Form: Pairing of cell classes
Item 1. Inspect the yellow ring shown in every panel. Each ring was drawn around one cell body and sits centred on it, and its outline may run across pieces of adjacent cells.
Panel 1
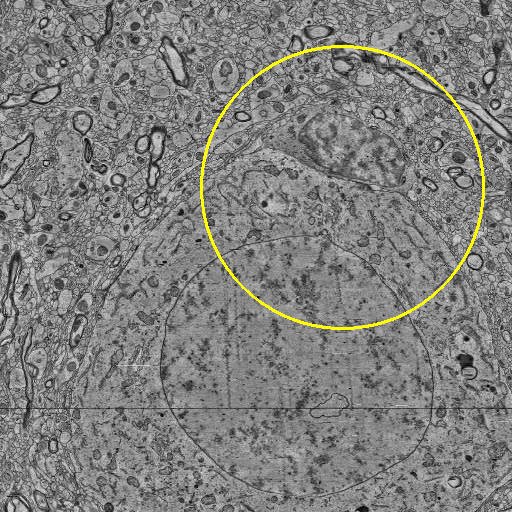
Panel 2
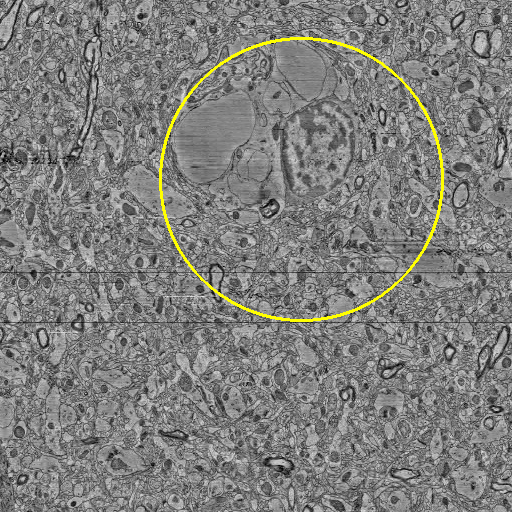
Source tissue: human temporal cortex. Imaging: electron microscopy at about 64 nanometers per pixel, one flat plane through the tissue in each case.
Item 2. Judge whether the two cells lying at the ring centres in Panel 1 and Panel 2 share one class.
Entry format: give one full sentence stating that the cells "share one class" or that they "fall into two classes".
The cells at the ring centres in Panel 1 and Panel 2 share one class.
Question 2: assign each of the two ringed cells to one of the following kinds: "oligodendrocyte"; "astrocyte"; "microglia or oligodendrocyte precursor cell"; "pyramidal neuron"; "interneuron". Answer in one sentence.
In the first picture and in the second, the ring is centred on an oligodendrocyte.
